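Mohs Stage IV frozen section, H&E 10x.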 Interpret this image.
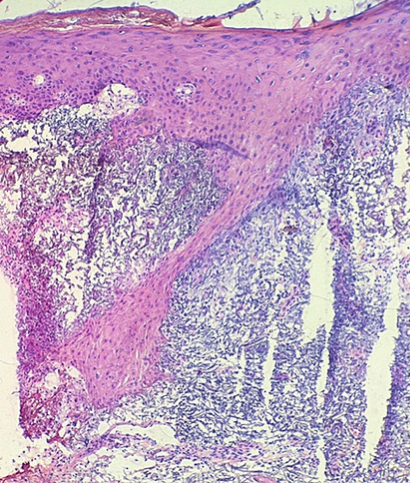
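This shows finger-like downgrowth of squamous epithelium in the pattern of pseudoepitheliomatous hyperplasia. Across the top is a thick band of pink keratinocytes with a thin keratin layer on its surface.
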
